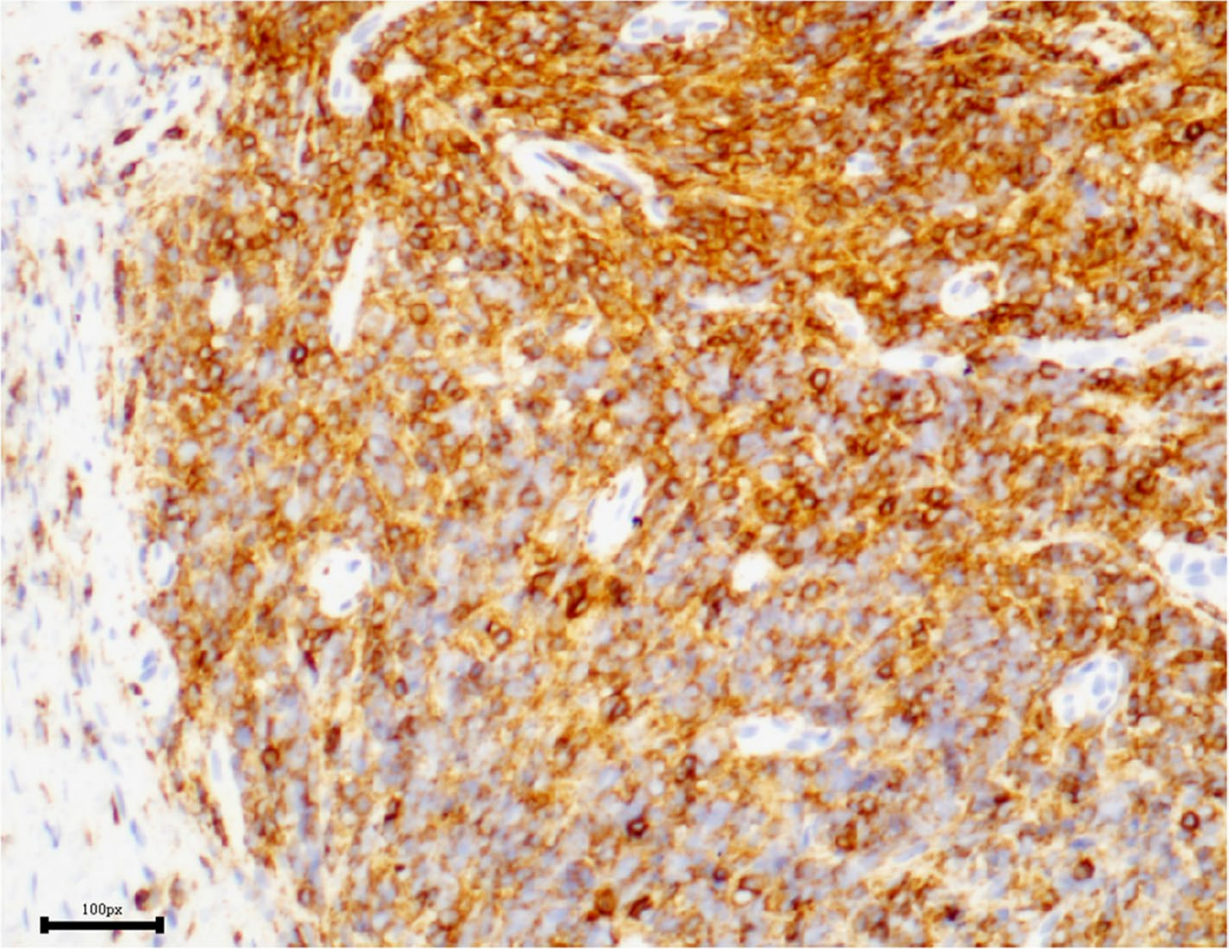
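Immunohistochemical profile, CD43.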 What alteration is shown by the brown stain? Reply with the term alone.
lymphocytic proliferation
